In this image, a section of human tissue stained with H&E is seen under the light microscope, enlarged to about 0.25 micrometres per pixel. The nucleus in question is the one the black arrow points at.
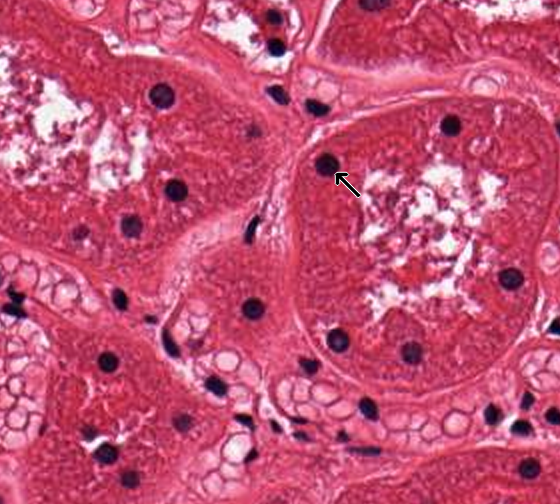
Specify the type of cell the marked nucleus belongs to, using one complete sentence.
The nucleus that the mark indicates belongs to a proximal tubule cell.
